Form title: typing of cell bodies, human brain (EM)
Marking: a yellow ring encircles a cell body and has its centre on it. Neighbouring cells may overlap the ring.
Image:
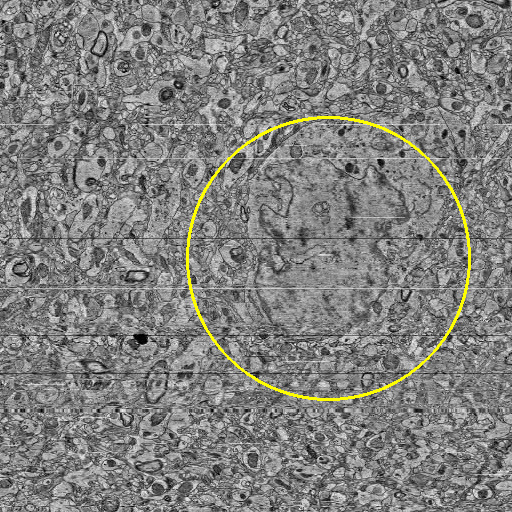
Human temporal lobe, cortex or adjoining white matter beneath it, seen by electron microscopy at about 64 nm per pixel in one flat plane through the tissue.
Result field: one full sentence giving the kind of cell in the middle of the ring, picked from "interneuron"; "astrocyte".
In the picture, the ring is centred on an interneuron, whose cell body it encircles.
